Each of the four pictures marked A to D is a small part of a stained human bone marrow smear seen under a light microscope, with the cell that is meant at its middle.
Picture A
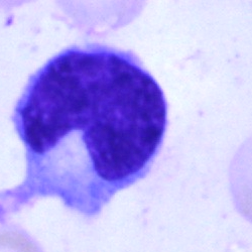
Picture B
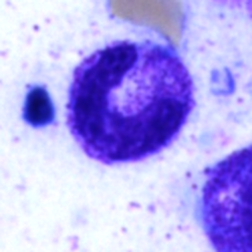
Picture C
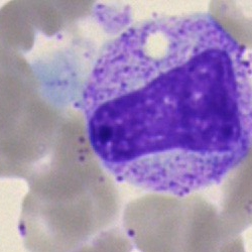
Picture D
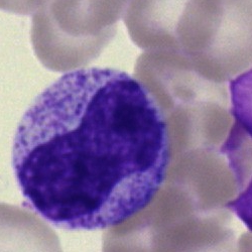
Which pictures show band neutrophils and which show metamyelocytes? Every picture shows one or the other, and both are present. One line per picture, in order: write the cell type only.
metamyelocyte
band neutrophil
metamyelocyte
metamyelocyte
